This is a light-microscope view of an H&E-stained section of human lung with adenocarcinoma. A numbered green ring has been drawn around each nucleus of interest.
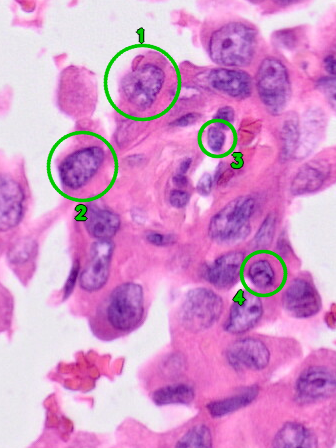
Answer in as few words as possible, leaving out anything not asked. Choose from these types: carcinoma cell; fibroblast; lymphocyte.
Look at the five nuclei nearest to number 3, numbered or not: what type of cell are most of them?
fibroblast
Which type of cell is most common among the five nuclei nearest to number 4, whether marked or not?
carcinoma cell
